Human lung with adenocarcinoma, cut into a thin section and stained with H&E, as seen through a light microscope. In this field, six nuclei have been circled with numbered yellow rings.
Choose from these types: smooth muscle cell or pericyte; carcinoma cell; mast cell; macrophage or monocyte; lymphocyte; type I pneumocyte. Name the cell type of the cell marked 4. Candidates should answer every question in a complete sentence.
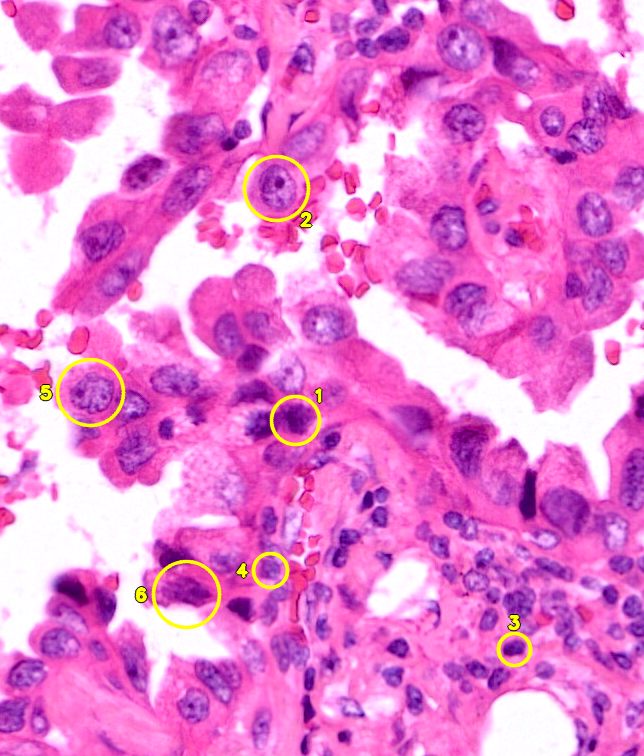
It is as a lymphocyte that the cell numbered 4 is identified.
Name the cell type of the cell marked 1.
Here the cell numbered 1 is a carcinoma cell.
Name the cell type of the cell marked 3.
In the marked set, the cell given number 3 is a lymphocyte.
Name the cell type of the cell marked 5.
The cell tagged with 5 in this tissue section is a carcinoma cell.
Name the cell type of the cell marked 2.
Recognised here as a carcinoma cell is the cell numbered 2.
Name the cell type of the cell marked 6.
The cell that is numbered 6 is a carcinoma cell.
